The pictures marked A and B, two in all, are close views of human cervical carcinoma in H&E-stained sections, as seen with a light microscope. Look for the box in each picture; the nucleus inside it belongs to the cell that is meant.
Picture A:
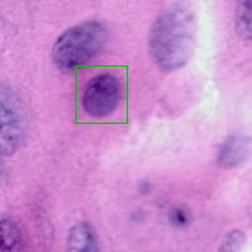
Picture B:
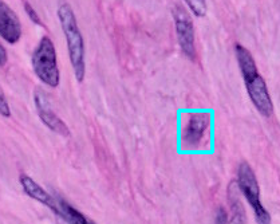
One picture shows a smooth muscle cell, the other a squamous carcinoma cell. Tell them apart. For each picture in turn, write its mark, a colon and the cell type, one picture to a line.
A: squamous carcinoma cell
B: smooth muscle cell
